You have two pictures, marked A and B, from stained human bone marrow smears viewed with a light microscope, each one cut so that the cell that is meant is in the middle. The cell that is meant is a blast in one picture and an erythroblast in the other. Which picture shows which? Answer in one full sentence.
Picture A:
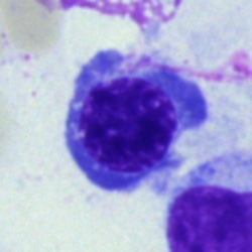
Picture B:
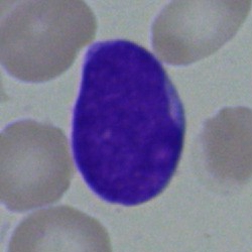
In picture A the cell is an erythroblast; in picture B, a blast.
